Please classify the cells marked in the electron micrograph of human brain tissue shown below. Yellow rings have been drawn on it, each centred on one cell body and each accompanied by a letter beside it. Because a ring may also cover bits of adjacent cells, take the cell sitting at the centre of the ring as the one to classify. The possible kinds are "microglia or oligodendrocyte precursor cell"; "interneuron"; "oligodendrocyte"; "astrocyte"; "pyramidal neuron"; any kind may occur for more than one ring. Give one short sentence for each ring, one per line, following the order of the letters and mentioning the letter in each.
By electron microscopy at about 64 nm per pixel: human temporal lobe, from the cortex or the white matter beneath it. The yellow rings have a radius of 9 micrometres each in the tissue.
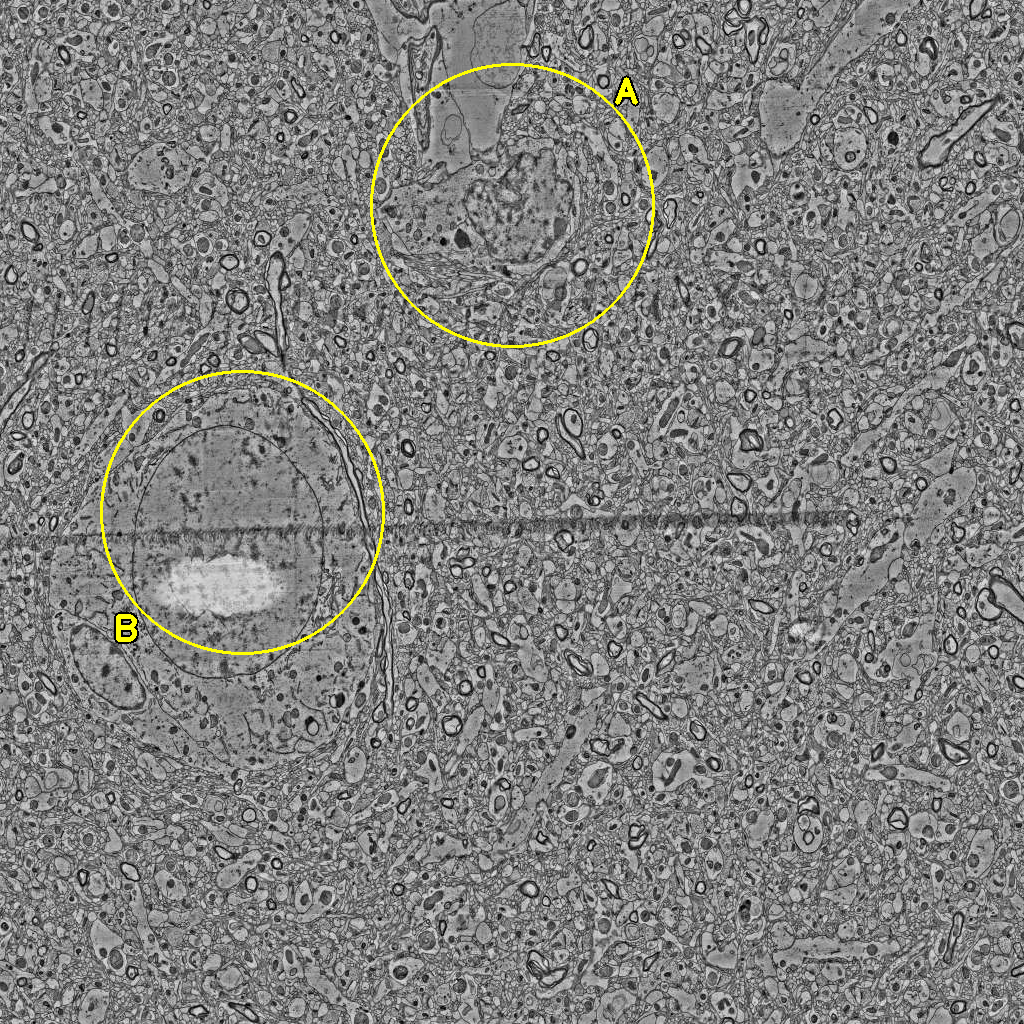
Ring A marks the cell body of an interneuron.
Ring B marks the cell body of a pyramidal neuron.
